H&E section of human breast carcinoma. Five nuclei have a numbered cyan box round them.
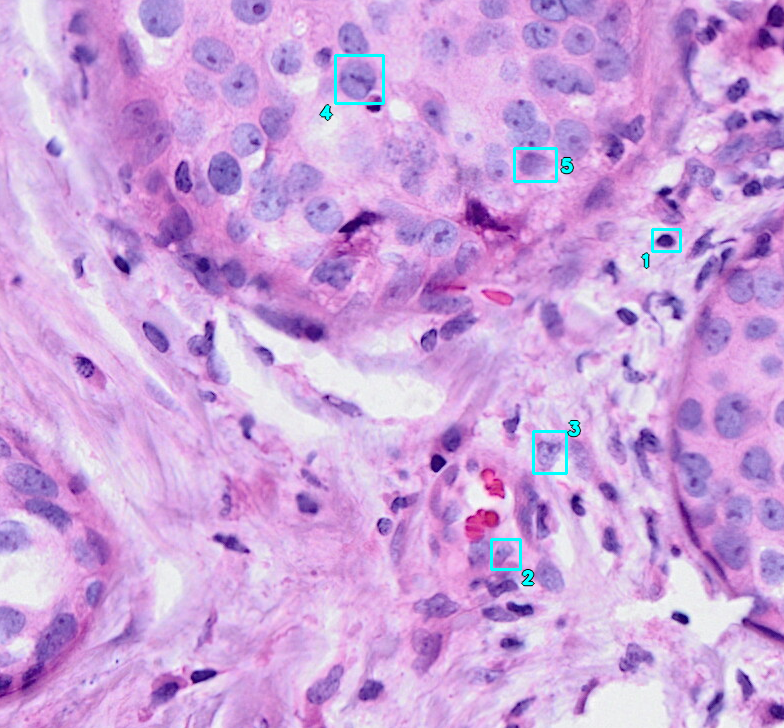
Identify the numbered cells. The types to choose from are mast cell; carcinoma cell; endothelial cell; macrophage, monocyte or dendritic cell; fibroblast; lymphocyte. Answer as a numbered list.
1. lymphocyte
2. endothelial cell
3. fibroblast
4. carcinoma cell
5. carcinoma cell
